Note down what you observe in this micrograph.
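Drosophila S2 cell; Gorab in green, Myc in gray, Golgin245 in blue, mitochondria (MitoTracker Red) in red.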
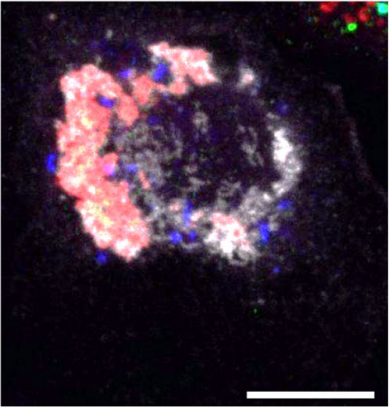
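Gray signal covers this mass, where it blends with the red into a pale pink, and also spreads as a fainter haze over the rest of the cytoplasm. Green signal is scarce and faint.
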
